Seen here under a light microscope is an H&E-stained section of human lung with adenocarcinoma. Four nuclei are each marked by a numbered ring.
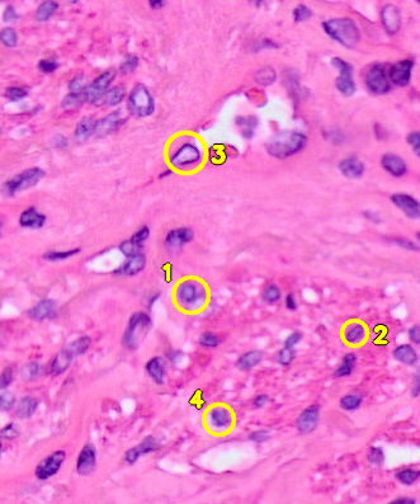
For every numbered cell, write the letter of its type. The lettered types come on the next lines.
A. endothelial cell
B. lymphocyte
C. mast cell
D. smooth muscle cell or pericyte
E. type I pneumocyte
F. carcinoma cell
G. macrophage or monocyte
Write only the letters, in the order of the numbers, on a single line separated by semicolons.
D; D; A; D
